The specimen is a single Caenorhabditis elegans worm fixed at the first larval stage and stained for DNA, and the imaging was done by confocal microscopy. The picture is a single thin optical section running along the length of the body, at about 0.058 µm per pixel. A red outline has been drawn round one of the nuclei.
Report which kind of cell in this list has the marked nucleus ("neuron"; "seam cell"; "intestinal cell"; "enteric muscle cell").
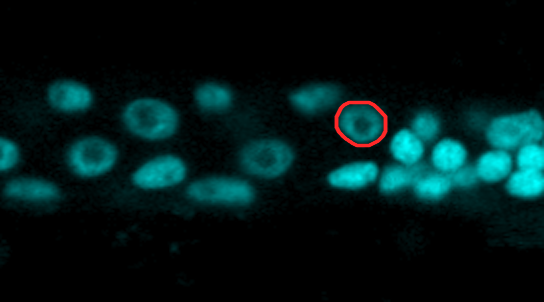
intestinal cell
